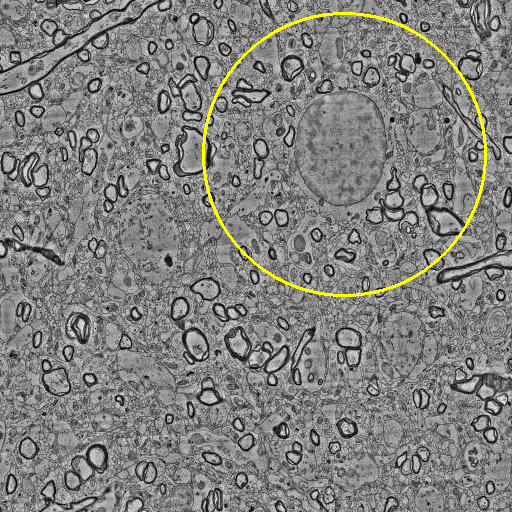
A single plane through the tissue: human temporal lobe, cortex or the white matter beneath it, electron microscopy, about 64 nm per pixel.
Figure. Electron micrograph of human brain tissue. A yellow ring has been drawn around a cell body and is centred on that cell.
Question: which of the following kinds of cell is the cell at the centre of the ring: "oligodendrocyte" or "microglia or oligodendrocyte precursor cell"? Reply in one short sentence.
The cell at the centre of the ring is an oligodendrocyte.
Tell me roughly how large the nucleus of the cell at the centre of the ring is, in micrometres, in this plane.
In this plane, about 7 micrometres in length and 6 in width.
